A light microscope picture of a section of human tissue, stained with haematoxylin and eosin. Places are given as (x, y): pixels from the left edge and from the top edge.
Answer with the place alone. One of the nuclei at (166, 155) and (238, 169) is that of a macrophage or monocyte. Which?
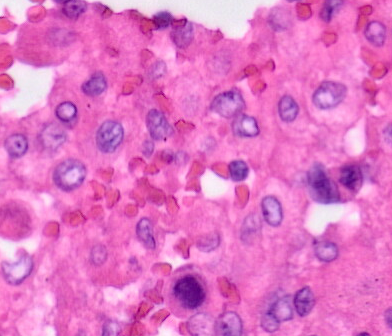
(166, 155)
